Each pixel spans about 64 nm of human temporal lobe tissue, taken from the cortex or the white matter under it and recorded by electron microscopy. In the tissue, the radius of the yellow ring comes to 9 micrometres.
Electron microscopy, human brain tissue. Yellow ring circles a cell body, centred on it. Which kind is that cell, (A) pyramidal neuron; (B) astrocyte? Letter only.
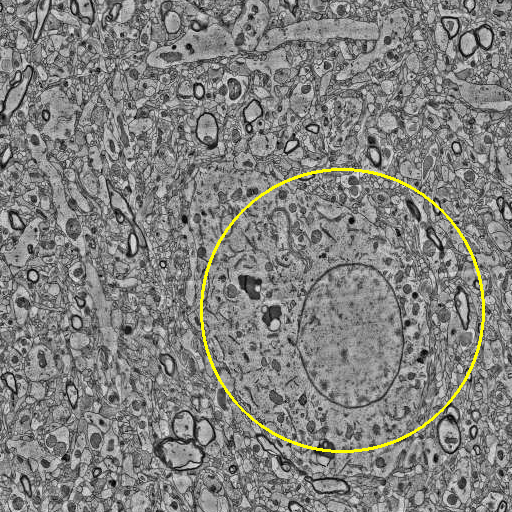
A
